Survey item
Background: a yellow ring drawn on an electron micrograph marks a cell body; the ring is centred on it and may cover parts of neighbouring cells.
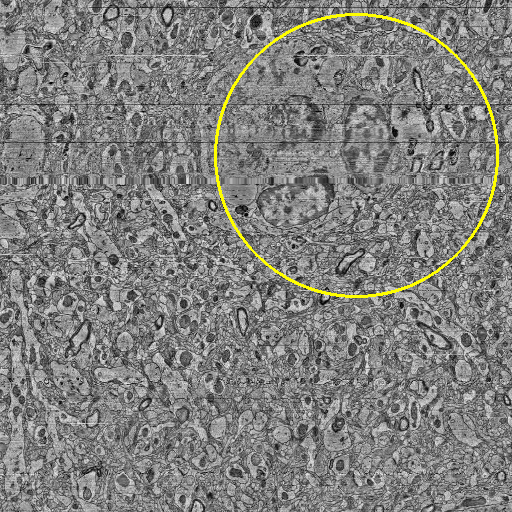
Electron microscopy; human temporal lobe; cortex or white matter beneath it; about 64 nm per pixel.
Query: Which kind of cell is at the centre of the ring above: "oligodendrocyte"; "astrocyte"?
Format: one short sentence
The cell in the middle of the ring is an oligodendrocyte.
